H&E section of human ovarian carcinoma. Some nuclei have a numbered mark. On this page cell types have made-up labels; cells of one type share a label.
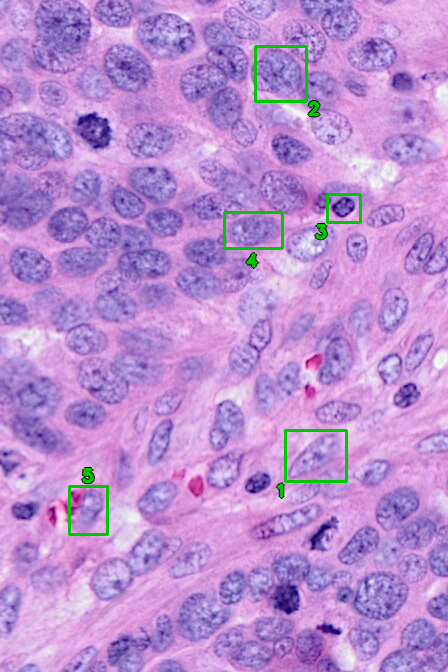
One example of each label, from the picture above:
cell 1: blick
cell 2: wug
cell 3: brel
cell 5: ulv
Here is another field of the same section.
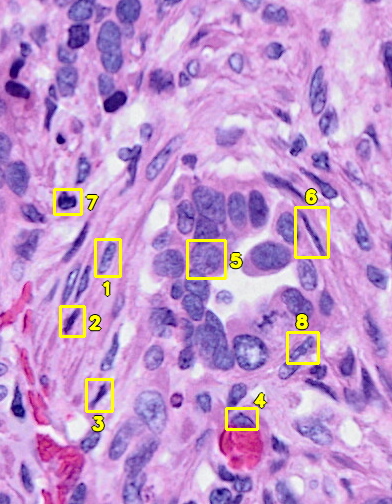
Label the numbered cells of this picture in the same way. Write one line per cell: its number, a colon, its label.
1: blick
2: blick
3: blick
4: ulv
5: wug
6: blick
7: brel
8: blick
